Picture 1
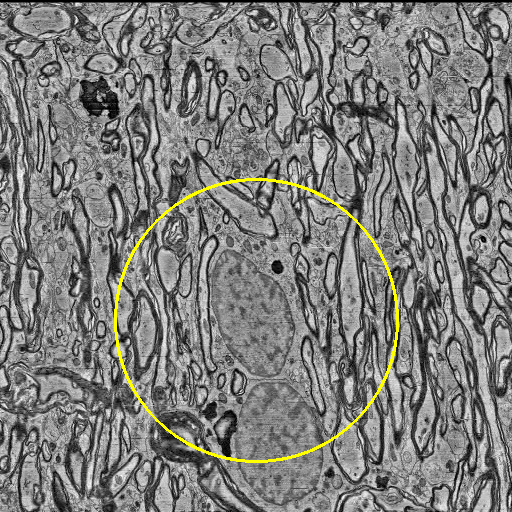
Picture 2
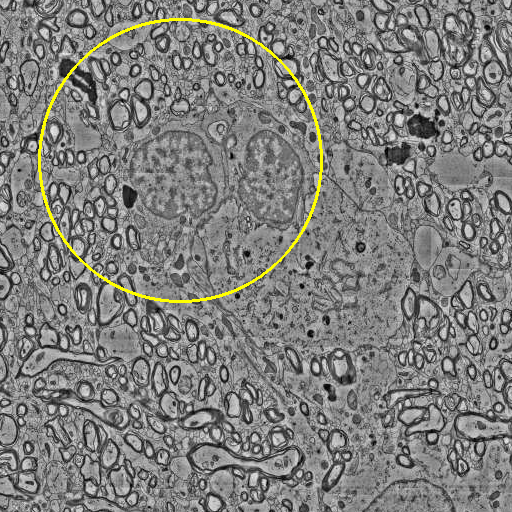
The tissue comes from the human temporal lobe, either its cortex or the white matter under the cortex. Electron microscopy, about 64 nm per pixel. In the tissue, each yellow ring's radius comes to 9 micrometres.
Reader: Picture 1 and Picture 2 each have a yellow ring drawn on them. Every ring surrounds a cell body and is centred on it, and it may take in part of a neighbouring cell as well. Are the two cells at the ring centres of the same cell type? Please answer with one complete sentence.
Yes, both cells are of the same cell type.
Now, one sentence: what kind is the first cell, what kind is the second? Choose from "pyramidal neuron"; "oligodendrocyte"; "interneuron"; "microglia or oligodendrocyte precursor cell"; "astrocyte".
Each of the ringed cells, first and second, is an oligodendrocyte.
